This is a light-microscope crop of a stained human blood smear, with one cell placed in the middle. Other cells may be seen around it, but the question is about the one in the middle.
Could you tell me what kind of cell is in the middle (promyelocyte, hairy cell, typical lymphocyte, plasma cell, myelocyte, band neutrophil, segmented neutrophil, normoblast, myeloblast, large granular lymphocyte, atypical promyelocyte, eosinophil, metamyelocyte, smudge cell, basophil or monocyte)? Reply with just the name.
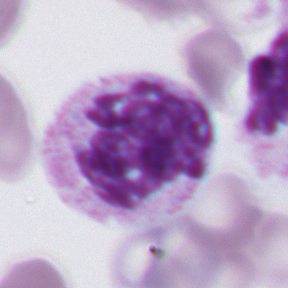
segmented neutrophil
